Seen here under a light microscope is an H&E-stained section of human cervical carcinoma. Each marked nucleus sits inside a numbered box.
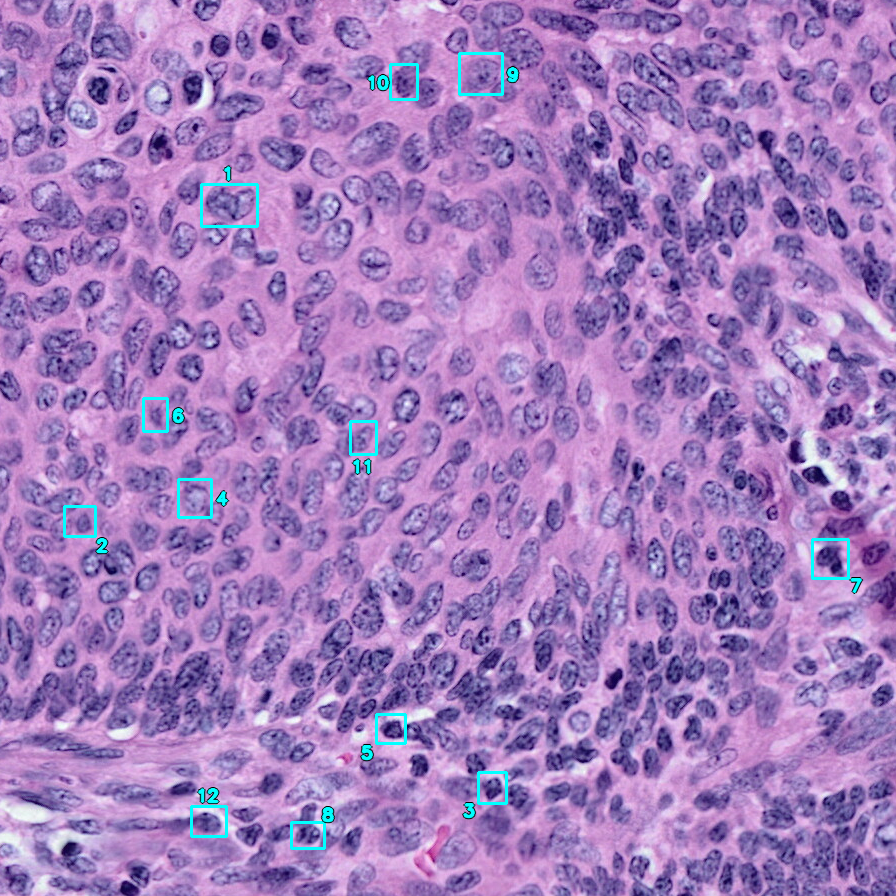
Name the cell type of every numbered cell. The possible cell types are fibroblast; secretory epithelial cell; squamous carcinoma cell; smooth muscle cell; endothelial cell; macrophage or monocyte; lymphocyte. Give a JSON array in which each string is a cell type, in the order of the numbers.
["squamous carcinoma cell", "squamous carcinoma cell", "lymphocyte", "squamous carcinoma cell", "lymphocyte", "squamous carcinoma cell", "lymphocyte", "lymphocyte", "squamous carcinoma cell", "squamous carcinoma cell", "squamous carcinoma cell", "lymphocyte"]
